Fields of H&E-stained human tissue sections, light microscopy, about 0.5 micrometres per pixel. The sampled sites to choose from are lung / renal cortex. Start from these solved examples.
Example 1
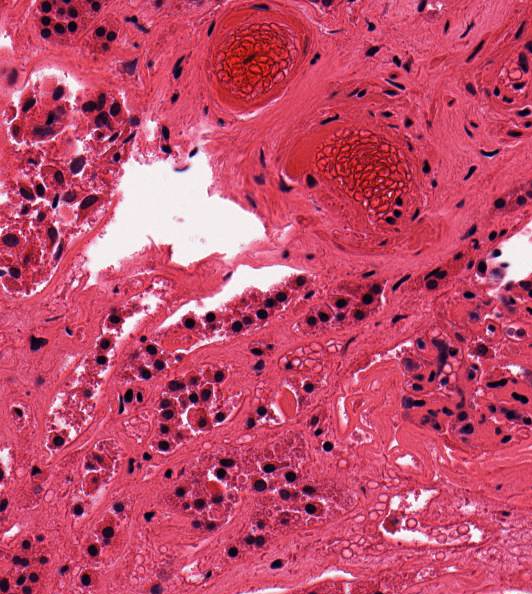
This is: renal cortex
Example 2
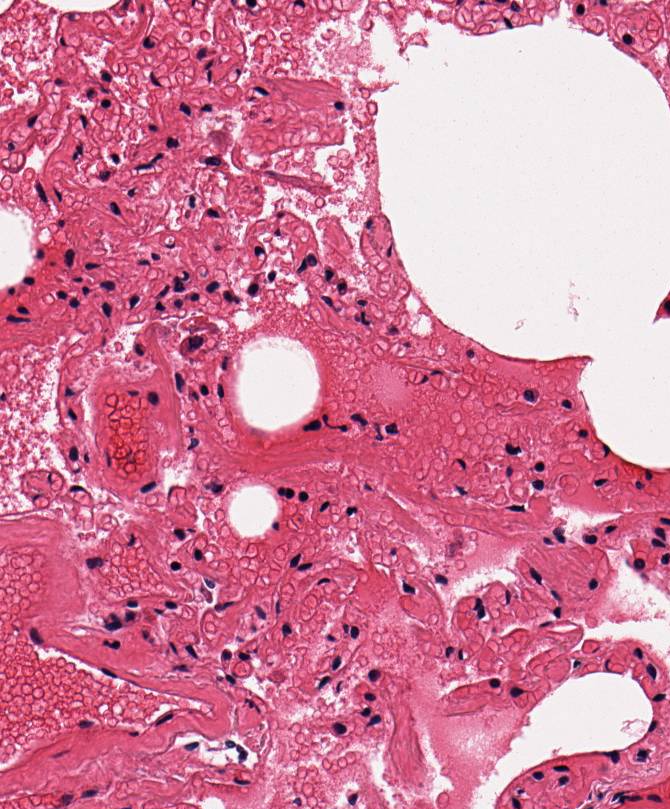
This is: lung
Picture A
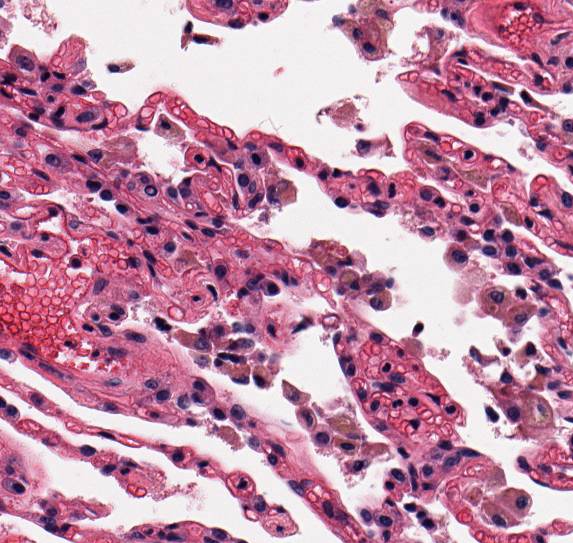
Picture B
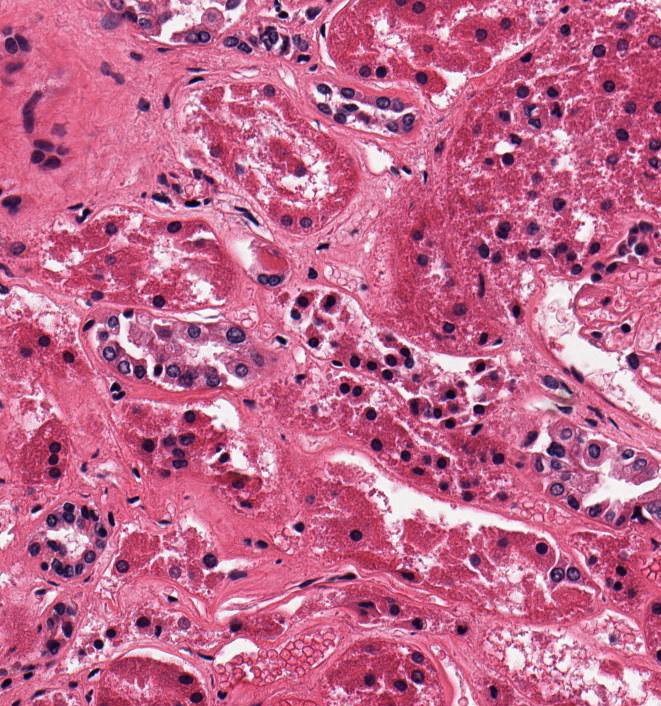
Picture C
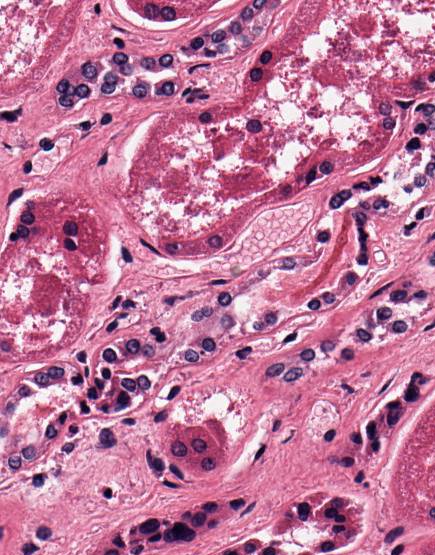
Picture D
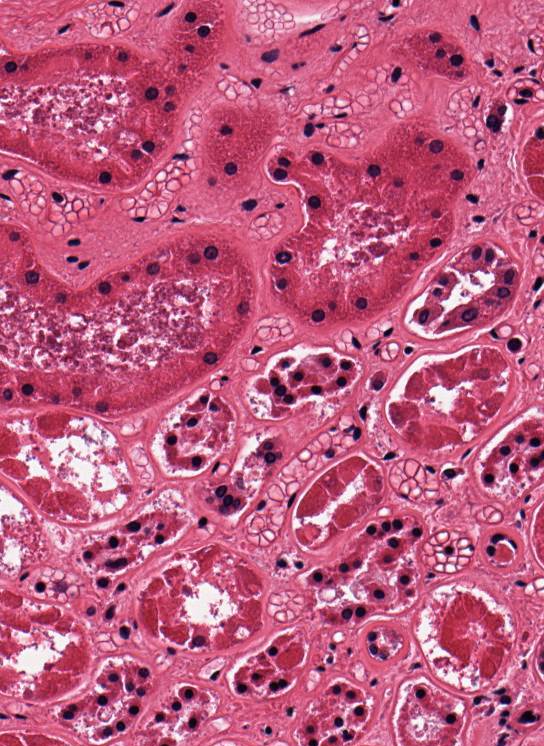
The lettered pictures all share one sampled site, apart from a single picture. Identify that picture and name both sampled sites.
A differs and shows lung; the others show renal cortex.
